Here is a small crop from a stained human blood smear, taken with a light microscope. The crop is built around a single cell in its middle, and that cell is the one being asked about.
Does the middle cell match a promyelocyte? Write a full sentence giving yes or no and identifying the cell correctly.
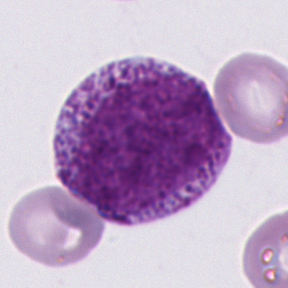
Yes, the cell in the center of the field is a promyelocyte.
